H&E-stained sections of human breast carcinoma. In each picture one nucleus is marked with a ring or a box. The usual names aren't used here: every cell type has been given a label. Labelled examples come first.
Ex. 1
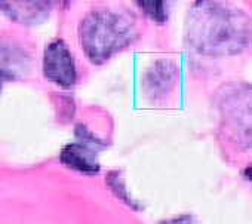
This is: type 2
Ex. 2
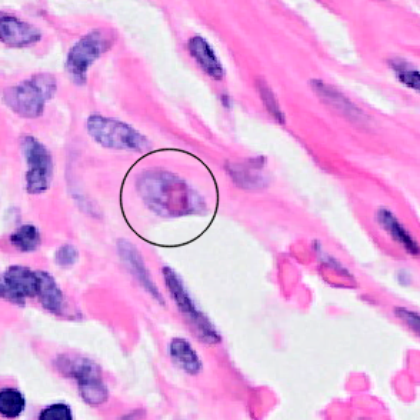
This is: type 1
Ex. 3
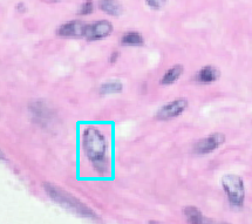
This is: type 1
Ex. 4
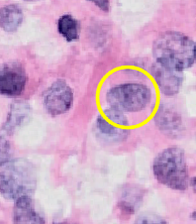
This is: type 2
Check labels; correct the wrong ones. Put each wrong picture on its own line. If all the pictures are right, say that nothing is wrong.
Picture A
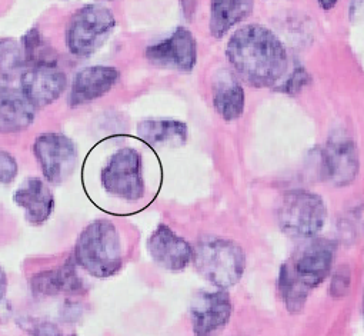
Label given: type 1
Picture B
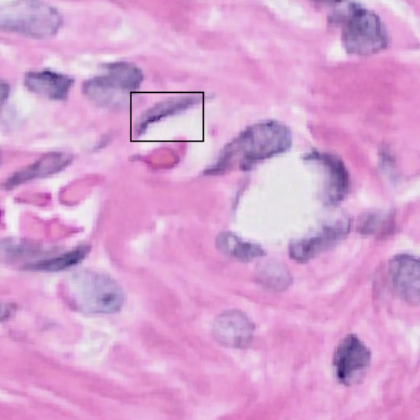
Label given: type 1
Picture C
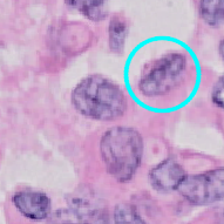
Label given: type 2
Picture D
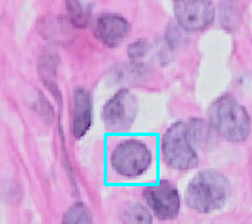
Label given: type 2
A: type 2, not type 1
